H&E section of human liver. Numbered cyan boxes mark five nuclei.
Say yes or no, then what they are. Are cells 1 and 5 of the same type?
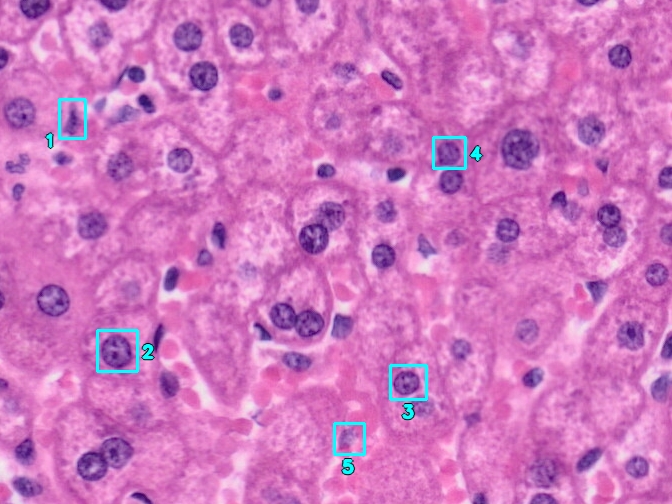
Yes, the numbered cells 1 and 5 are both endothelial cells.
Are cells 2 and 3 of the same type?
Yes, hepatocytes are what cells 2 and 3 both are.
